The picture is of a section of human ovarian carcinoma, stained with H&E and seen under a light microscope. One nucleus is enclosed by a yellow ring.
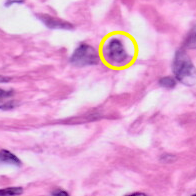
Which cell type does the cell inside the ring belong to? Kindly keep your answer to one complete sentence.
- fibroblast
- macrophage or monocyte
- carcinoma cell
As for its identity, the cell inside the ring is a fibroblast.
